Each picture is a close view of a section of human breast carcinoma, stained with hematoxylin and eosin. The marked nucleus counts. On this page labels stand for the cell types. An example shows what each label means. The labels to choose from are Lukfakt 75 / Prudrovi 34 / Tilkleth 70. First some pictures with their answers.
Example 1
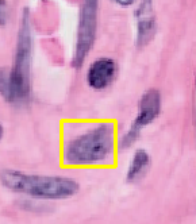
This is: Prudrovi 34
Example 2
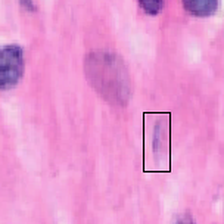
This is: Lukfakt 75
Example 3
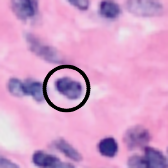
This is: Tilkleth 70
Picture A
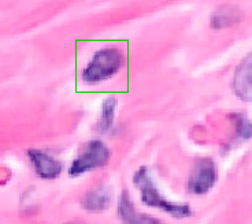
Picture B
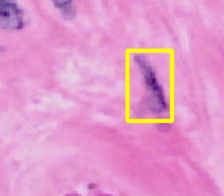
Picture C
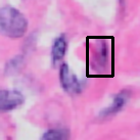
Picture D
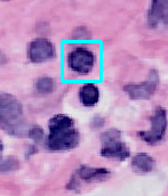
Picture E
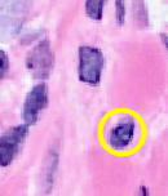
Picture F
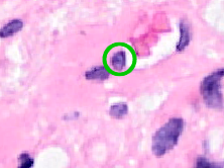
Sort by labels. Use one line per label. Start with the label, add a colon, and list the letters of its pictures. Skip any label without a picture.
Lukfakt 75: B
Prudrovi 34: C, F
Tilkleth 70: A, D, E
